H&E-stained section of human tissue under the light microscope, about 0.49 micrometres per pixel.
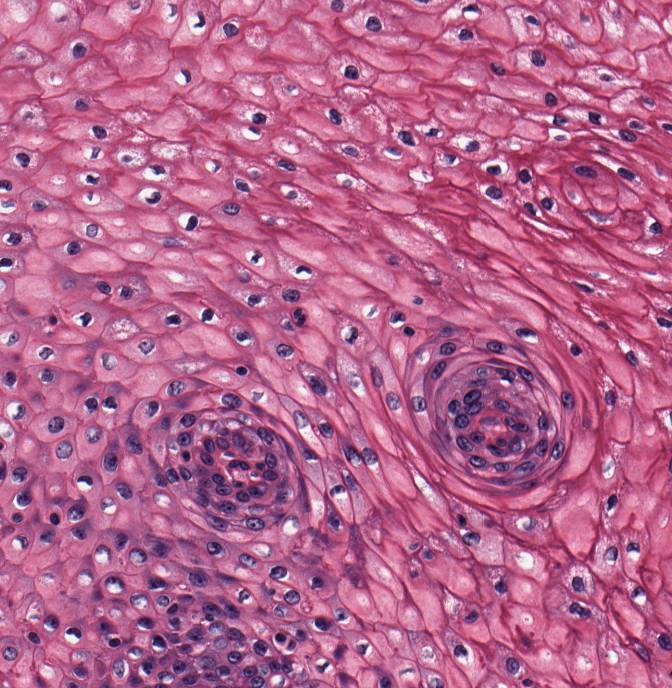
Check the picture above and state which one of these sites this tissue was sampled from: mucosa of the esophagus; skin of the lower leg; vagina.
mucosa of the esophagus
